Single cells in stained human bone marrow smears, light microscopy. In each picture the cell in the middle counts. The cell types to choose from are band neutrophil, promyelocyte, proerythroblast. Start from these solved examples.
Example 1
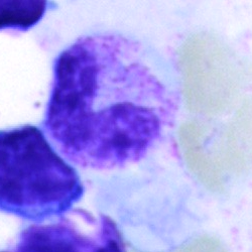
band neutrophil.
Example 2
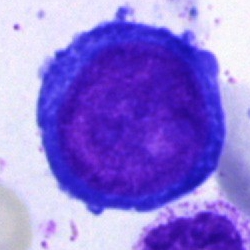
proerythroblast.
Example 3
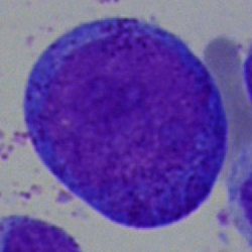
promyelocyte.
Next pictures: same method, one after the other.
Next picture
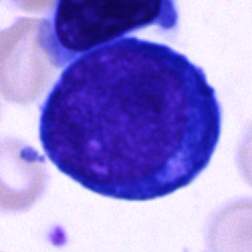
proerythroblast.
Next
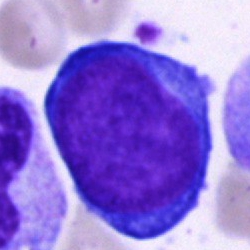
proerythroblast.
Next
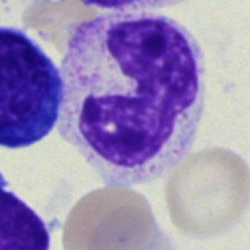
band neutrophil.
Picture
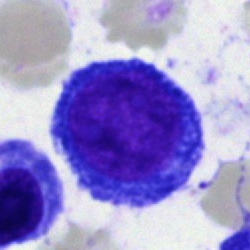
proerythroblast.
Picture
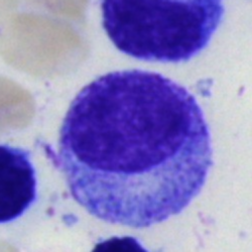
promyelocyte.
